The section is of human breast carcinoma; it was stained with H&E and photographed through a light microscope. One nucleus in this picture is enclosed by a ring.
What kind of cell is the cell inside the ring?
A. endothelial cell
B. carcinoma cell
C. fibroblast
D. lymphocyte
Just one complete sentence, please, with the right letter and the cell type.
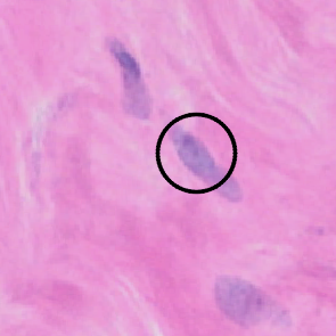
The correct option is C, as the cell inside the ring is a fibroblast.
